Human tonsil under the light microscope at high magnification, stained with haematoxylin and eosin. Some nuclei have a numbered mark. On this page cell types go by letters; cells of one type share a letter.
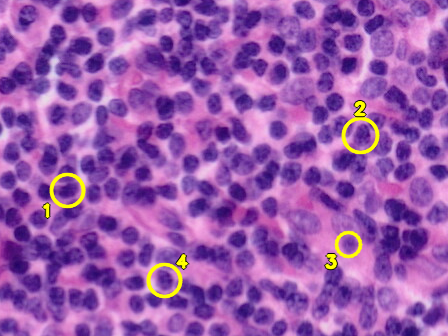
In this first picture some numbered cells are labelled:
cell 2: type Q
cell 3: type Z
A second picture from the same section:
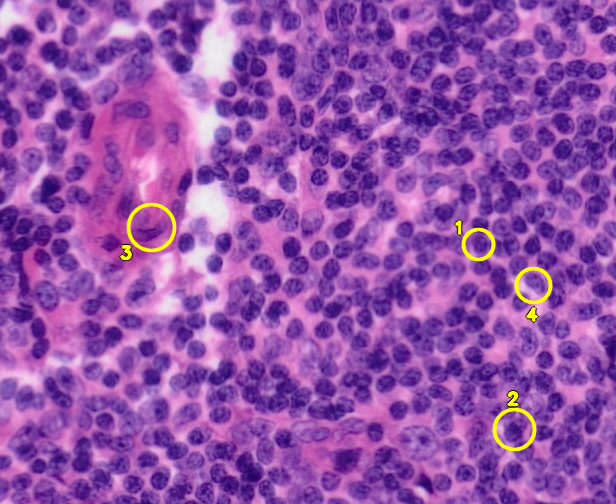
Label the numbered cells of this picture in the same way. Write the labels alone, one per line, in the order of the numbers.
type Q
type Q
type Z
type Q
